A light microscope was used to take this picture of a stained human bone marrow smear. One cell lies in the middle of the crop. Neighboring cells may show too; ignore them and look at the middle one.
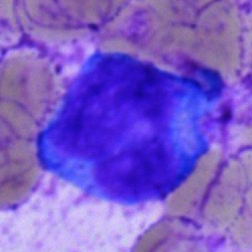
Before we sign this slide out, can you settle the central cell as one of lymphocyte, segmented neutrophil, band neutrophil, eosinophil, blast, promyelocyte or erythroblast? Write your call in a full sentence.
The cell under consideration, at the middle of the crop, is a blast.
